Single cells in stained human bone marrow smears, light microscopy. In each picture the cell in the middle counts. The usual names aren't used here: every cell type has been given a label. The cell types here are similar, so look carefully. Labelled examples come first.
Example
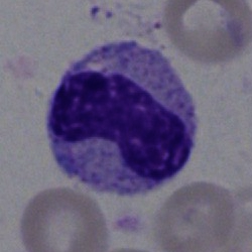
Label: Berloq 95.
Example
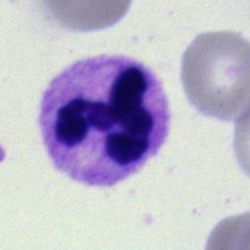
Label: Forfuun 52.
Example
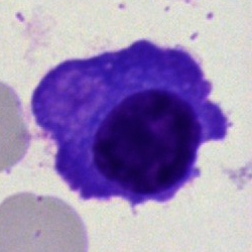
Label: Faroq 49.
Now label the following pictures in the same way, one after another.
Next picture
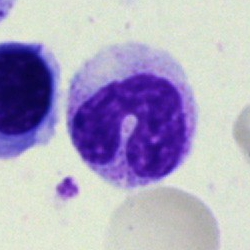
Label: Berloq 95.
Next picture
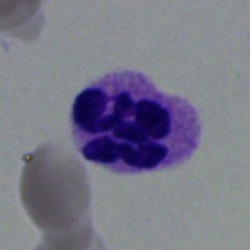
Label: Forfuun 52.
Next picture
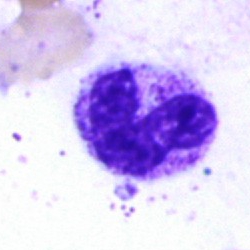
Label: Berloq 95.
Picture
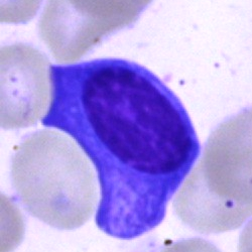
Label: Faroq 49.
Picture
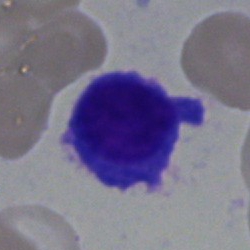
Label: Faroq 49.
